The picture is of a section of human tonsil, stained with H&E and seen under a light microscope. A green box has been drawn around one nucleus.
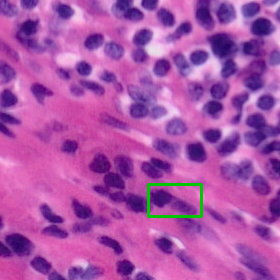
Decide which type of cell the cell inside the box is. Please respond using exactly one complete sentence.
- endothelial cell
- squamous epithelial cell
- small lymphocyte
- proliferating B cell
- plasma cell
For the purposes of cell typing, the cell inside the box is categorized as an endothelial cell.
